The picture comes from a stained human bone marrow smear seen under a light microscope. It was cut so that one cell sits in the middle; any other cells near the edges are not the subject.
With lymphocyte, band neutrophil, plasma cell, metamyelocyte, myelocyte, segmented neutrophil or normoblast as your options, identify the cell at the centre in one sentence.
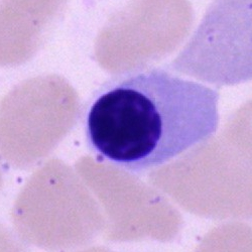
By type, the central cell of the crop is a normoblast.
